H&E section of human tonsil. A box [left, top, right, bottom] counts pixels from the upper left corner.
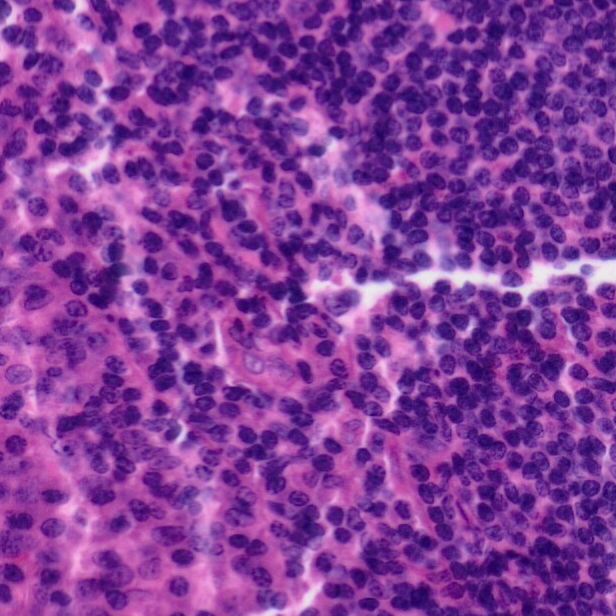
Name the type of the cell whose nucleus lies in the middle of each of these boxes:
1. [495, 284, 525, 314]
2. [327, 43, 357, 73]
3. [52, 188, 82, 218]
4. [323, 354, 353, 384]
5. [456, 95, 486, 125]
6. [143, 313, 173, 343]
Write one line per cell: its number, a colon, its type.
1: small lymphocyte
2: small lymphocyte
3: plasma cell
4: plasma cell
5: small lymphocyte
6: small lymphocyte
